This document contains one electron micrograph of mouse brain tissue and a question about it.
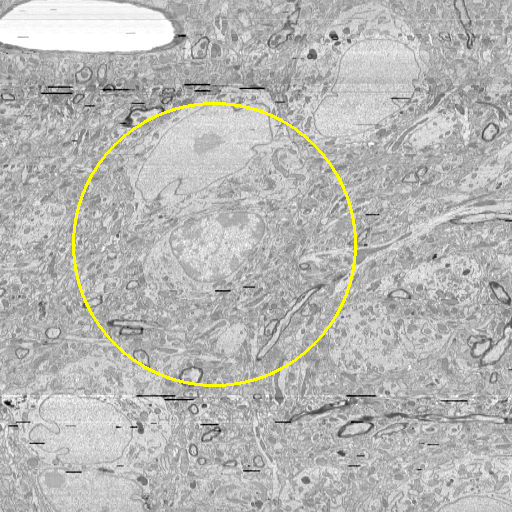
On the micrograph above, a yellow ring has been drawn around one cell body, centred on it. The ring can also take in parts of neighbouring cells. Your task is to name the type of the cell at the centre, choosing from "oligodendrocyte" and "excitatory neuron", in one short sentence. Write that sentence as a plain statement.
Here the ring is centred on an oligodendrocyte.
